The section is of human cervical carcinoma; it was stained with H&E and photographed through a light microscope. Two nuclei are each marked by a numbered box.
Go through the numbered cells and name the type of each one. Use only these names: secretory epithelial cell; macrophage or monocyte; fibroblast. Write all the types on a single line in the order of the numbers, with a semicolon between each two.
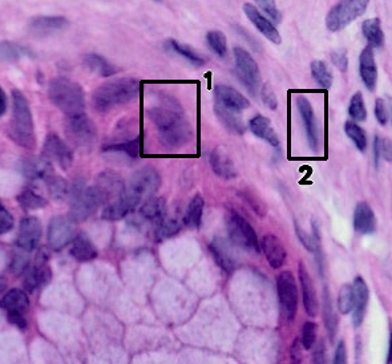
secretory epithelial cell; fibroblast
